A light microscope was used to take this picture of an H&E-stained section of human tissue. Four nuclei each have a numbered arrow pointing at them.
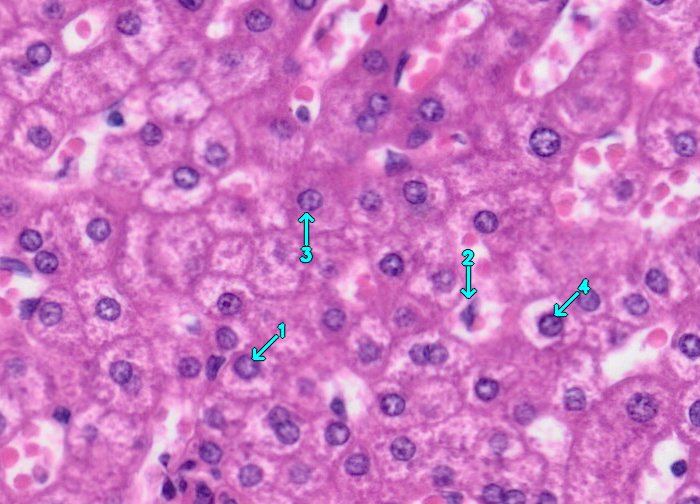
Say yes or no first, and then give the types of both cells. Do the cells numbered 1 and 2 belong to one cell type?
No, in contrast to cell 2, which is a Kupffer cell, cell 1 is a hepatocyte.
